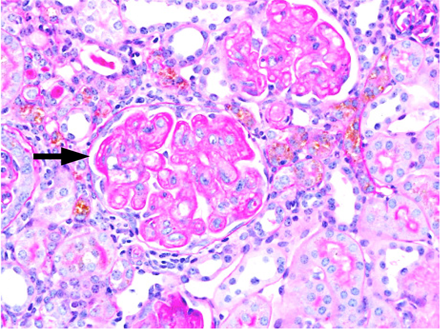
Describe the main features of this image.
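Renal cortex with glomeruli surrounded by tubules shows a large glomerulus at the center whose capillary tuft is crowded with thickened, strongly magenta capillary loops. The tuft almost fills Bowman's space, and a thin capsule with flat cells lines it. Neighbouring tubules have pink cytoplasm and round blue nuclei, some lumens hold pink material, and the interstitium between them contains scattered small nuclei and golden-brown granular deposits. A second glomerulus at the upper right shows similar thickened loops.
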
